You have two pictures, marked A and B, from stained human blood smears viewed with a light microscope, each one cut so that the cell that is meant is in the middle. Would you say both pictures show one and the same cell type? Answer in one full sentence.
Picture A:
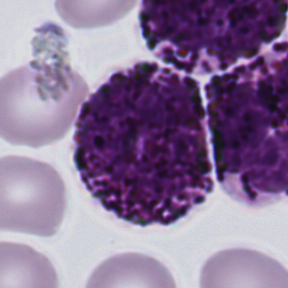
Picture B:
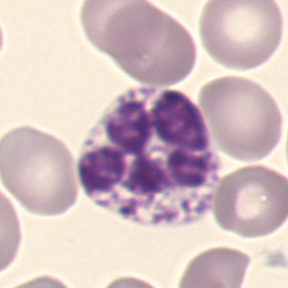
Yes; the cells in both pictures are basophils.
